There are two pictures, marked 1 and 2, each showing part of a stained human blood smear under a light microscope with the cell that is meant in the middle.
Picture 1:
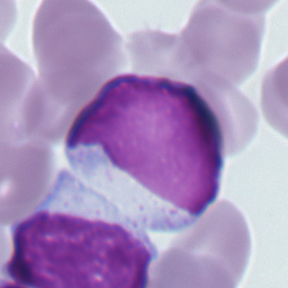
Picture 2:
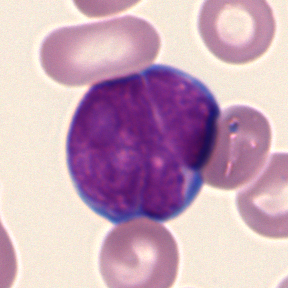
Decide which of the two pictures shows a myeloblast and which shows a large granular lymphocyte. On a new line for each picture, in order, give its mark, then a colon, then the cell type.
1: large granular lymphocyte
2: myeloblast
